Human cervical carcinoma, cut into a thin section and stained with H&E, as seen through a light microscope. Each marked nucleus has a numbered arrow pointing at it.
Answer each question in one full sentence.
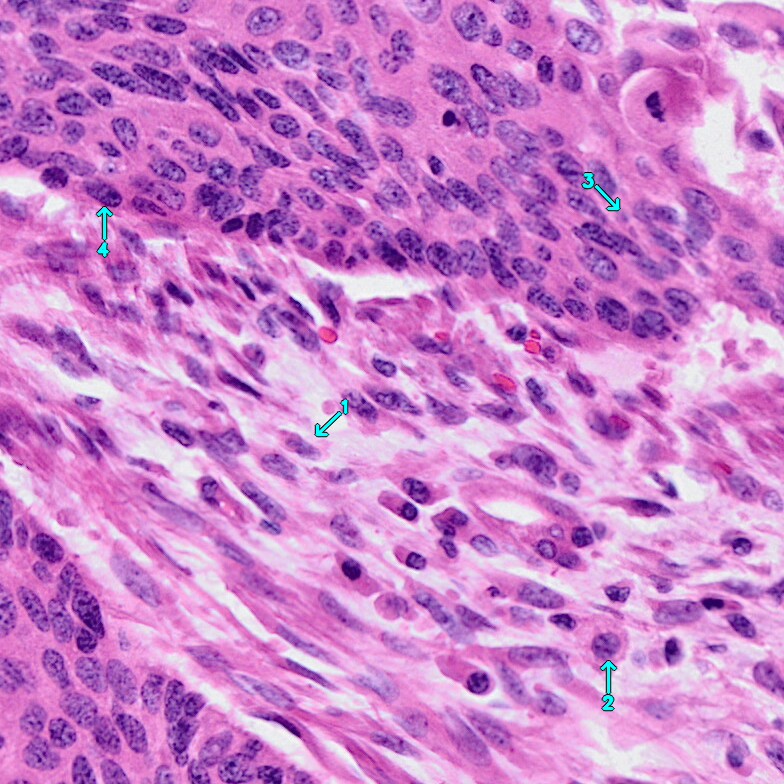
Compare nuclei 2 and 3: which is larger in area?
Of the two, number 2 is bigger and takes up about 4 times the area of number 3.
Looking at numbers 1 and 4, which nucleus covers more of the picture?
The larger nucleus is 4, at roughly 1.5 times the area of 1.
